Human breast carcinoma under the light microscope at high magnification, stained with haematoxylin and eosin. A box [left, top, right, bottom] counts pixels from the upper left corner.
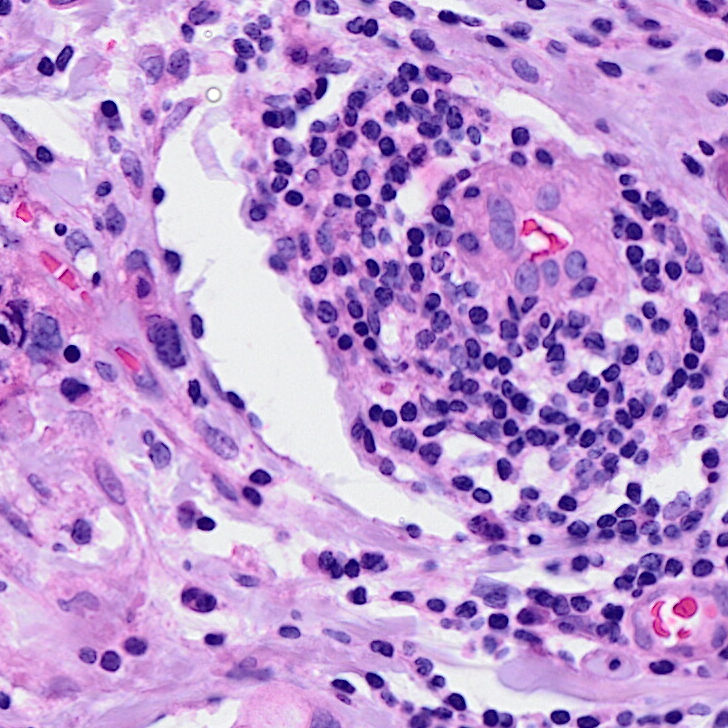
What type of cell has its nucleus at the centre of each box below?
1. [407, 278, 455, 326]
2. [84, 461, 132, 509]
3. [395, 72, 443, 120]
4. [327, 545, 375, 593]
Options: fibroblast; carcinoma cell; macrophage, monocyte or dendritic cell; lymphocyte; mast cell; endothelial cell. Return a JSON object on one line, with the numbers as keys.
{"1": "lymphocyte", "2": "fibroblast", "3": "lymphocyte", "4": "lymphocyte"}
